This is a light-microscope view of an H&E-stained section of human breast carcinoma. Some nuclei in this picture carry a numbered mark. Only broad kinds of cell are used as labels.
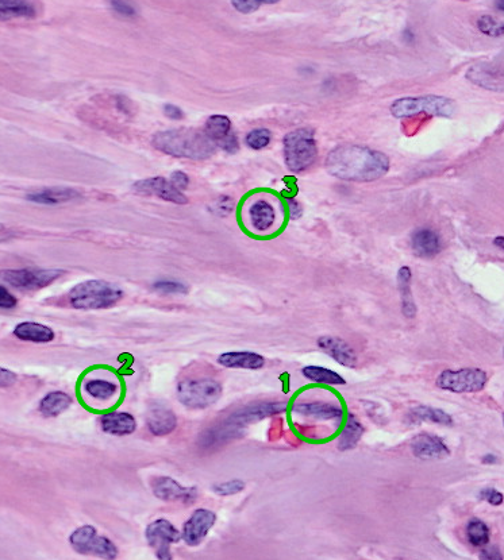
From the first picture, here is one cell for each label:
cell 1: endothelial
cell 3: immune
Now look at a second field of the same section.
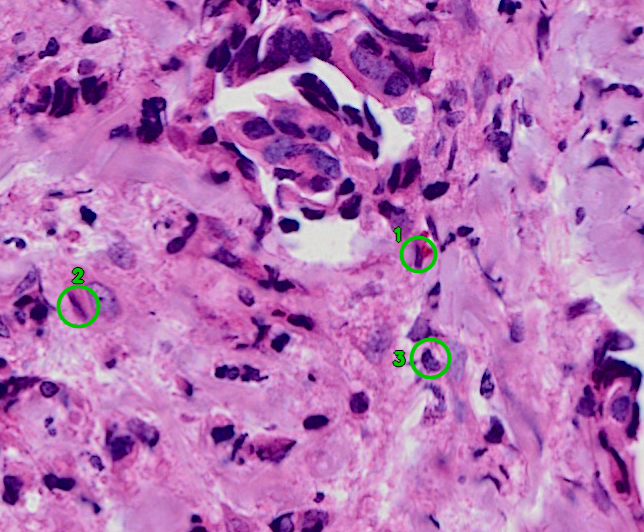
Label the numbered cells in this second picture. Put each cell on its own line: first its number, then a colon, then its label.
1: endothelial
2: endothelial
3: immune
